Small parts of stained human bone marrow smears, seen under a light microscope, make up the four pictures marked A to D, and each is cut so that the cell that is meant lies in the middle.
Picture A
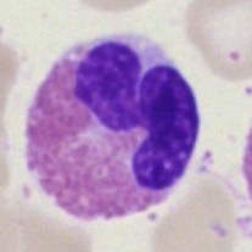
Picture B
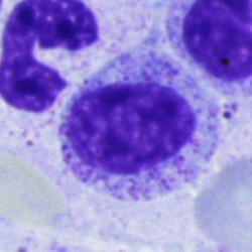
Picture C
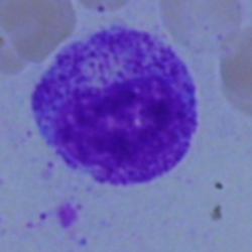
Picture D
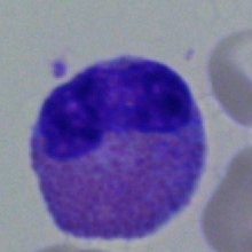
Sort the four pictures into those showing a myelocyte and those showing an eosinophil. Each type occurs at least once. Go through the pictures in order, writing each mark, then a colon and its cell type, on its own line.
A: eosinophil
B: myelocyte
C: myelocyte
D: eosinophil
